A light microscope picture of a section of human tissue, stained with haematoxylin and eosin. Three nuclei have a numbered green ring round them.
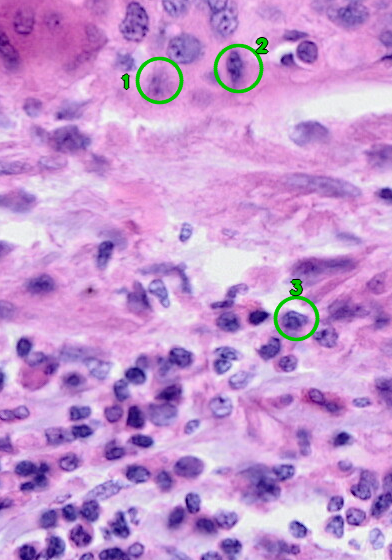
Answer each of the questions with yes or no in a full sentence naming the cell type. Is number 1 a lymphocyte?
No, cell 1 should be read as a squamous carcinoma cell instead of a lymphocyte.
